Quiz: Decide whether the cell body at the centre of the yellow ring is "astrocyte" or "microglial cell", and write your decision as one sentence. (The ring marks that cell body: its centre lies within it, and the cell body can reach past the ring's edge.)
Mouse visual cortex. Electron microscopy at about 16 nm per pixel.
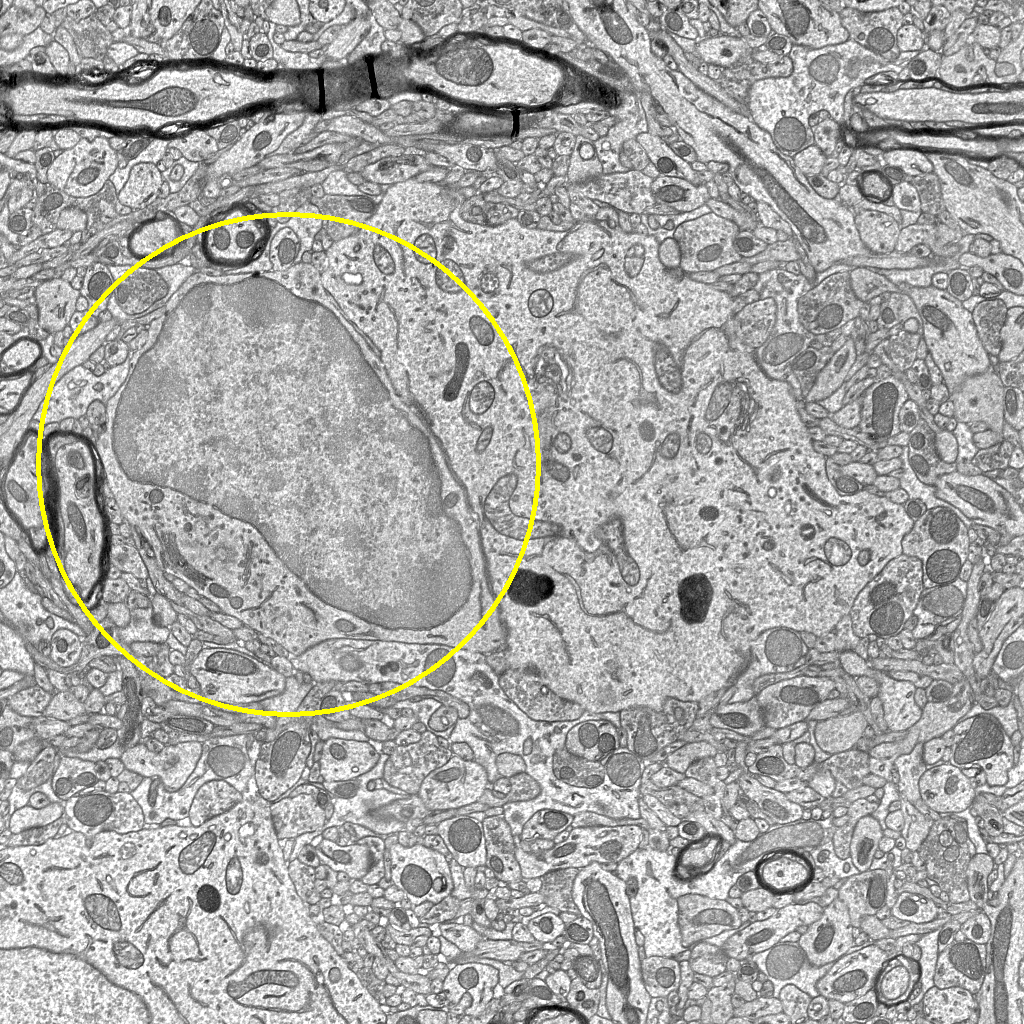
The cell holding the ring's centre is a microglial cell.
